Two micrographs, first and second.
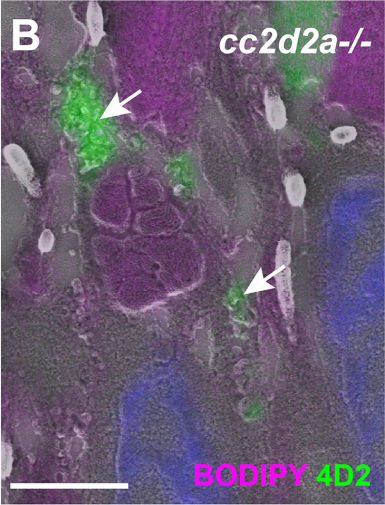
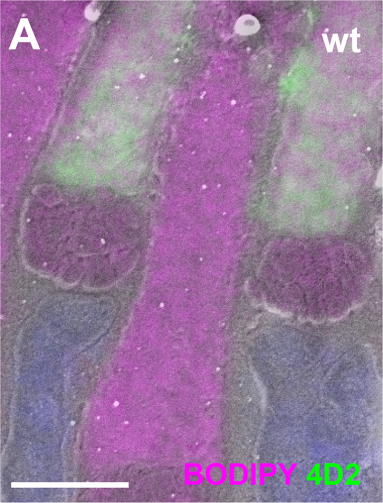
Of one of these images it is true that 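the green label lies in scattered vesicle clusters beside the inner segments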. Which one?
the first image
